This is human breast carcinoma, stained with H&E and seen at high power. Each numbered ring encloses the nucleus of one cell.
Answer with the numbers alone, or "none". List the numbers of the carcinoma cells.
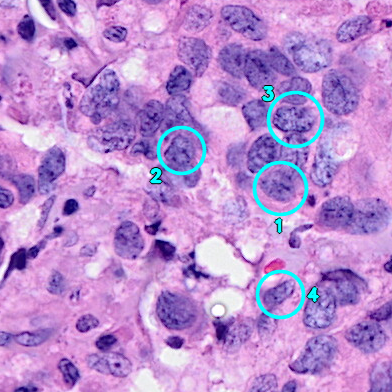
1, 2, 3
